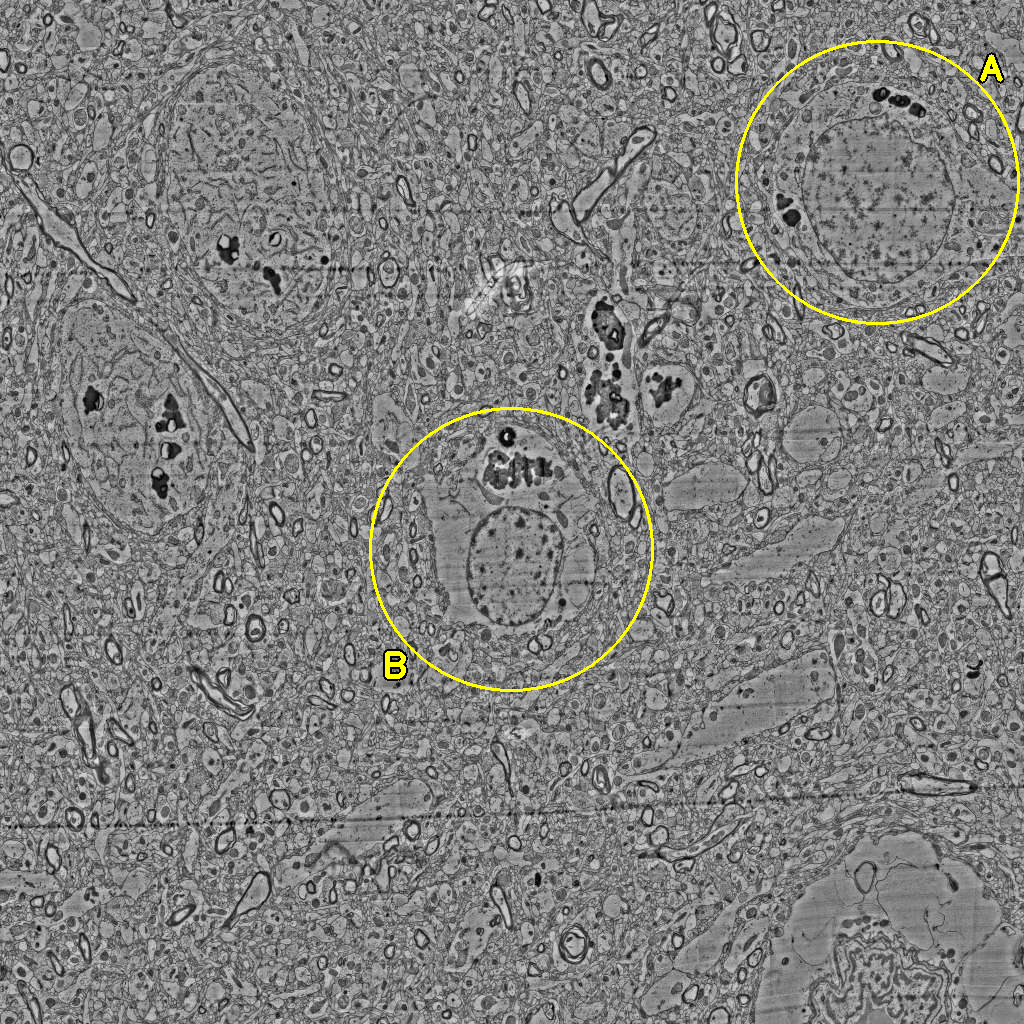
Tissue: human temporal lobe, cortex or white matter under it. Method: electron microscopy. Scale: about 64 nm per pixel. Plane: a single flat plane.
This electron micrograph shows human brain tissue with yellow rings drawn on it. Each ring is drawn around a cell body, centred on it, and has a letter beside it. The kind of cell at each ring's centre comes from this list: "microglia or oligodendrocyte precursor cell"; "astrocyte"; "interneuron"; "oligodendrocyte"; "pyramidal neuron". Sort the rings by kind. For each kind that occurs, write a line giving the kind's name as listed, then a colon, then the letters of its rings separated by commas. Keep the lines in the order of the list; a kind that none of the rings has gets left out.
astrocyte: B
pyramidal neuron: A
